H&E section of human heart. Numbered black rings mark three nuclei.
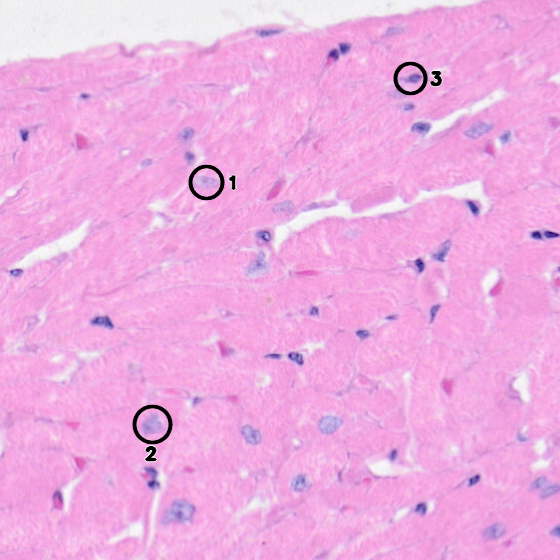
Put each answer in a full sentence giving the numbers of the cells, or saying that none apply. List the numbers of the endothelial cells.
Cell 3 represents an endothelial cell, and no other numbered cell does.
